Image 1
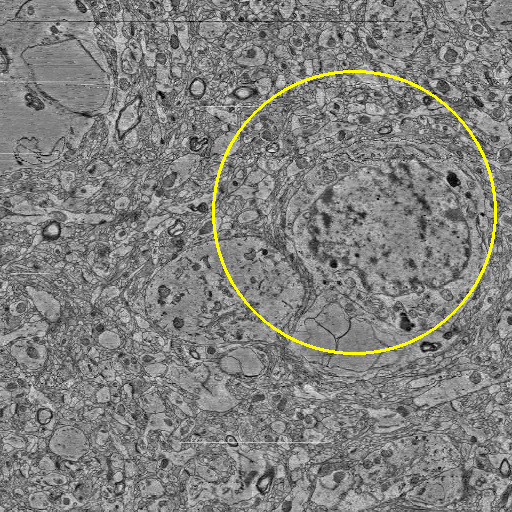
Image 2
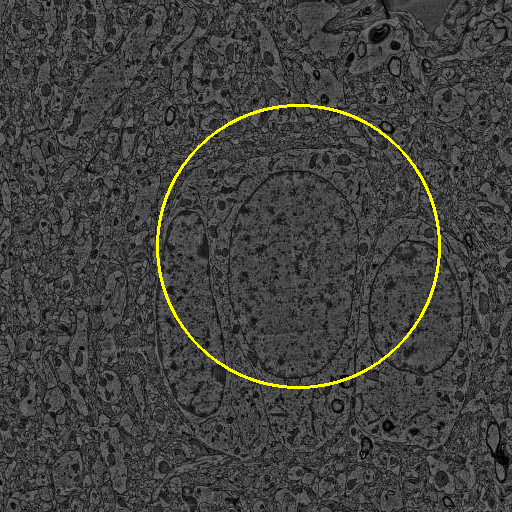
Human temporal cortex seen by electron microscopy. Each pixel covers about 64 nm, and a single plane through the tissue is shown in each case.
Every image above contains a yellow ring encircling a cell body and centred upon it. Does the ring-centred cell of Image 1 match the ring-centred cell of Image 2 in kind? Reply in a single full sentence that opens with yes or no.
No, the cell at the ring's centre in Image 1 is a separate kind from that in Image 2.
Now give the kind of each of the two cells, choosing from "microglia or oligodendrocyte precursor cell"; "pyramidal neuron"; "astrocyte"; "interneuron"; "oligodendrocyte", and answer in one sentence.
The cell in the first picture is an interneuron, and the cell in the second is a pyramidal neuron.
